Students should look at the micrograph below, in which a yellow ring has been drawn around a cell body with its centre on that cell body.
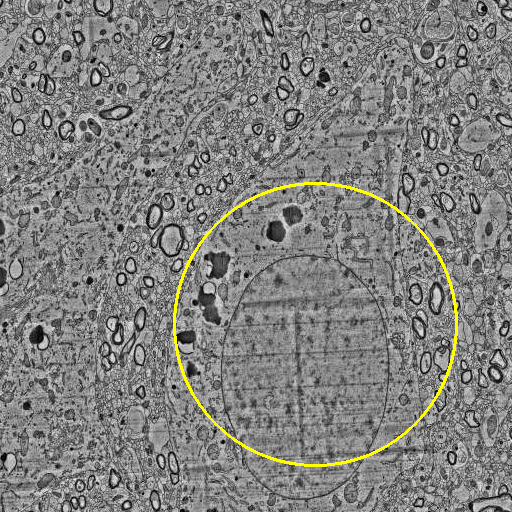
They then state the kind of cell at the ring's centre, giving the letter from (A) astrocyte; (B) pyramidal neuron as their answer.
B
